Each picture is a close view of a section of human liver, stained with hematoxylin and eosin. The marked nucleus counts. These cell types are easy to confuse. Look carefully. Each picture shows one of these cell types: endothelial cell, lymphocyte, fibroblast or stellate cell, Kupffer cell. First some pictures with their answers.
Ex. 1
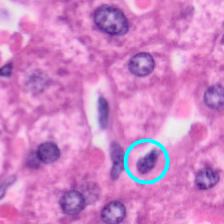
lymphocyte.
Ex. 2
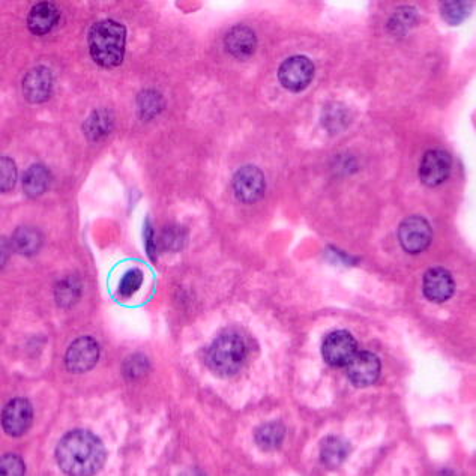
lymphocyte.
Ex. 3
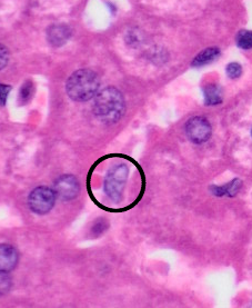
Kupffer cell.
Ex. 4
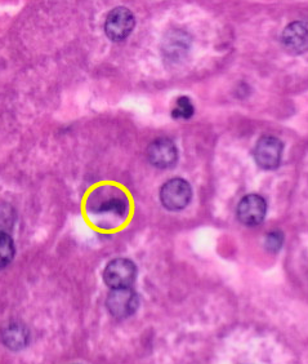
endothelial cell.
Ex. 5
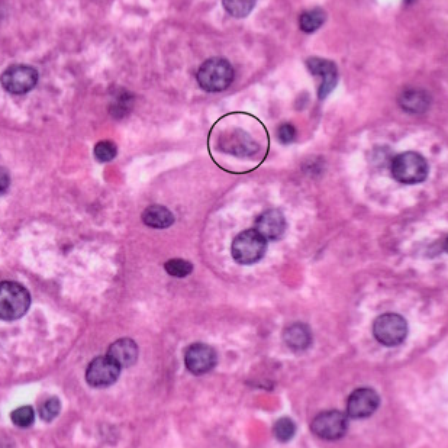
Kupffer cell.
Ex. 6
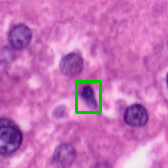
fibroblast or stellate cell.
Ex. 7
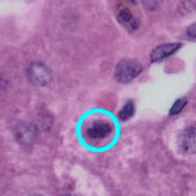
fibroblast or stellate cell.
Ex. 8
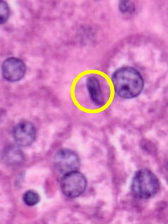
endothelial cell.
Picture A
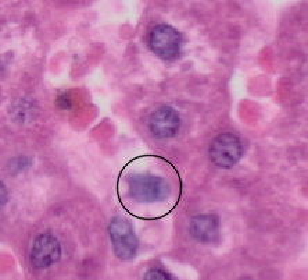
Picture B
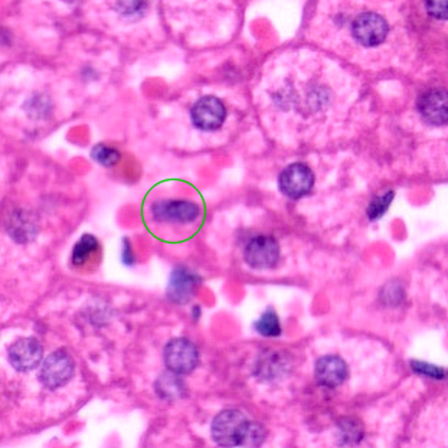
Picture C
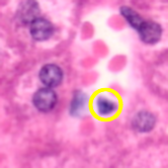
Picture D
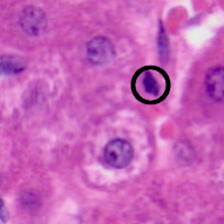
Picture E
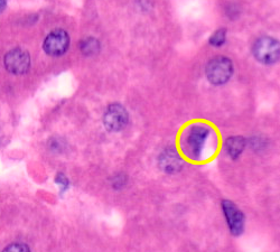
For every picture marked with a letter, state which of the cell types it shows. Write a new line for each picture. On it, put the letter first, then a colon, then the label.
A: endothelial cell.
B: fibroblast or stellate cell.
C: lymphocyte.
D: fibroblast or stellate cell.
E: endothelial cell.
